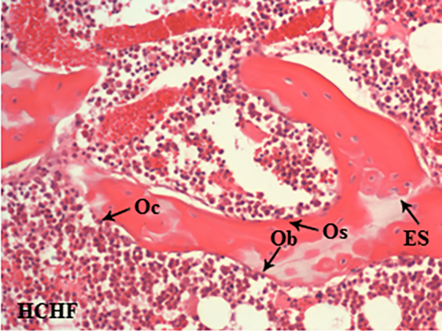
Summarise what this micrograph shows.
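Trabecular bone with bone marrow, stained pink and purple. Irregular, interconnected struts of pink-red bone matrix enclose marrow spaces, with small cells housed in lacunae within the matrix. Parts of the bone surfaces appear paler and irregular, and cells line the edges of the struts facing the marrow. The marrow spaces are crowded with small cells having dark-purple round nuclei, interspersed with elongated clusters of red blood cells and scattered clear round fat vacuoles. A large marrow space occupies the centre, bordered on several sides by bony struts.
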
